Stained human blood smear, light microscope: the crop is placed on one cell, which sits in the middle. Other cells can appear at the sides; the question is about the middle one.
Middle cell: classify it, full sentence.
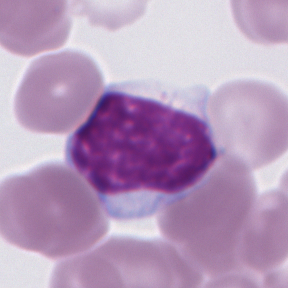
At the middle of the frame sits a large granular lymphocyte.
